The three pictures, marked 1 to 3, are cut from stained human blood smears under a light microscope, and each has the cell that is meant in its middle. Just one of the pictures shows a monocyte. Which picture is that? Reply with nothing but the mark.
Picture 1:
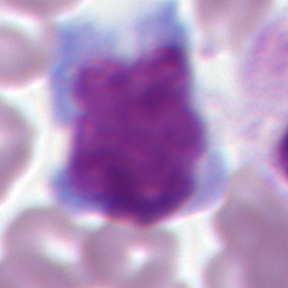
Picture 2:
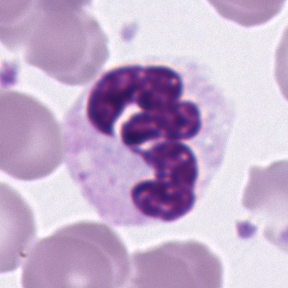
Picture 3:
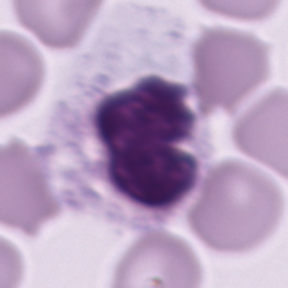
1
